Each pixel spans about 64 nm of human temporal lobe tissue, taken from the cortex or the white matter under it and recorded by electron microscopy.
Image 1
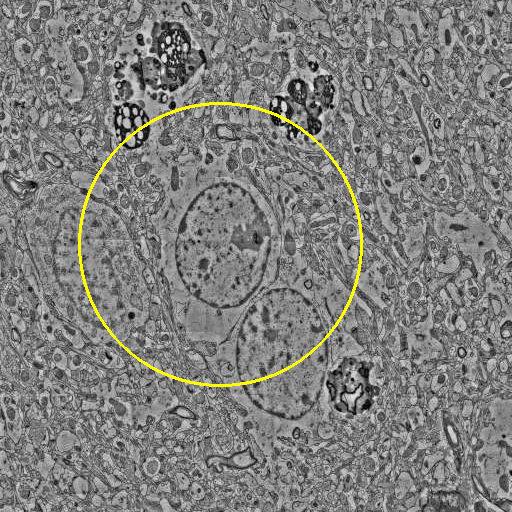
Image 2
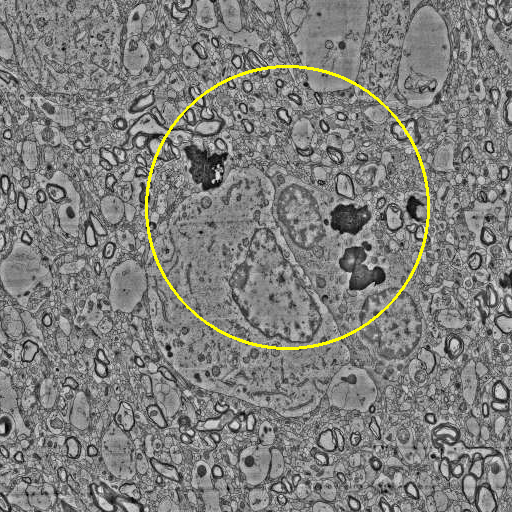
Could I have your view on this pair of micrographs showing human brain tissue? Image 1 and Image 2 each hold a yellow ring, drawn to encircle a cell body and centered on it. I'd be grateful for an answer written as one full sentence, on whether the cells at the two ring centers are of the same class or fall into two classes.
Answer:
The cells at the centers of the two rings fall into two classes.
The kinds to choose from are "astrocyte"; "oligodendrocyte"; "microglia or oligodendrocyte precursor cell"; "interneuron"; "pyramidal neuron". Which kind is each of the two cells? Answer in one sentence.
Of the two, the first cell is an astrocyte and the second cell is an oligodendrocyte.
